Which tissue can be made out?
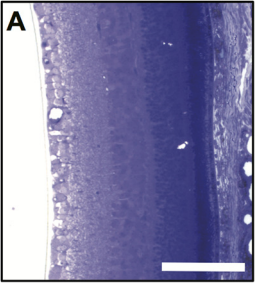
Retina.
